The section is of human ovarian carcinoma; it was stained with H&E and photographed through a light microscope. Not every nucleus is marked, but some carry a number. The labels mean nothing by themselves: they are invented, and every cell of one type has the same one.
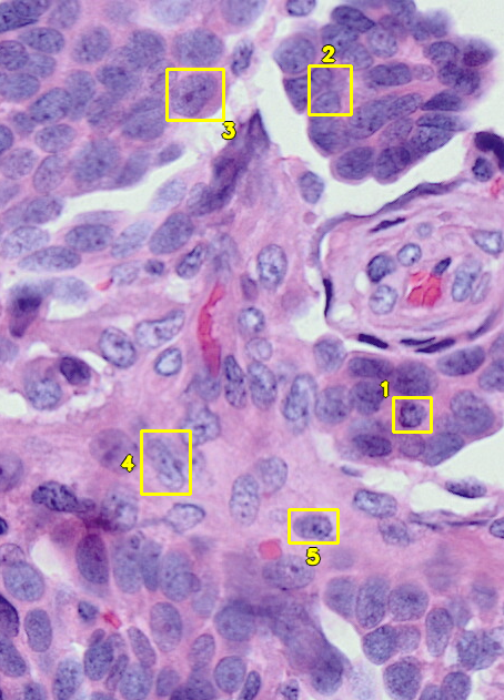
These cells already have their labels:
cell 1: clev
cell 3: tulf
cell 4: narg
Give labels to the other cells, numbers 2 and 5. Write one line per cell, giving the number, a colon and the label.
2: tulf
5: clev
